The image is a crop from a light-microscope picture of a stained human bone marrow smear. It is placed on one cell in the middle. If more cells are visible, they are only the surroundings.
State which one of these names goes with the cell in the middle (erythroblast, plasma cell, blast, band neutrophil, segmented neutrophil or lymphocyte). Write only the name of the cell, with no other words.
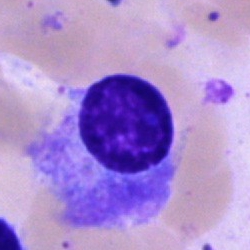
plasma cell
